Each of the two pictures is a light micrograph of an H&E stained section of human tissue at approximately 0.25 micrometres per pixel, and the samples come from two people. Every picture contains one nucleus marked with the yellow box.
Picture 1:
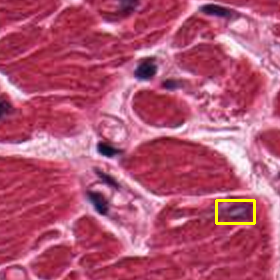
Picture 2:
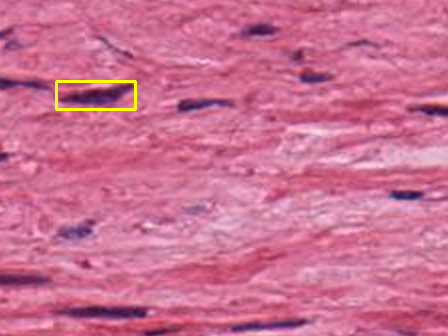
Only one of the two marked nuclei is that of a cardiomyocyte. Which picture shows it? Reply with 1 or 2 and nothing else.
1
